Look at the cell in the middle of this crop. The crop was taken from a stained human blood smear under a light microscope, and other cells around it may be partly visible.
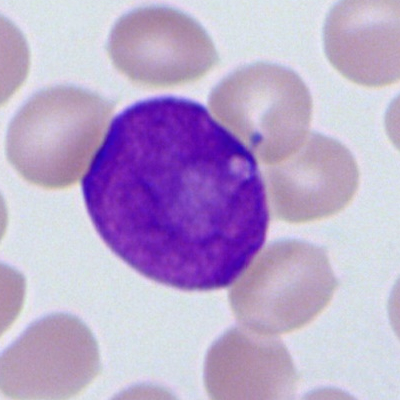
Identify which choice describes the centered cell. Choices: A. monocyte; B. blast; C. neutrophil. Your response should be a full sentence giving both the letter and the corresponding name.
The middle of the crop holds a blast, which points to option B.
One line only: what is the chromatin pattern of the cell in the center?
The chromatin pattern is fine and free of coarse clumps.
